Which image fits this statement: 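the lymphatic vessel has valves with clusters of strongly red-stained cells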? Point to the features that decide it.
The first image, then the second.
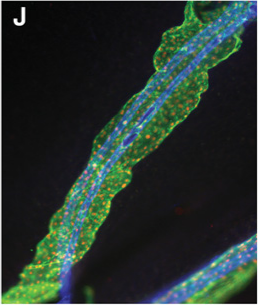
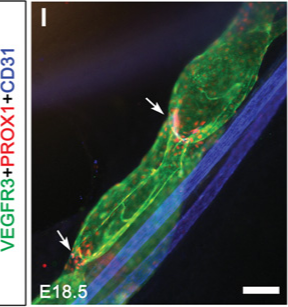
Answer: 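The second image. Second image: the green vessel narrows at two points marked by clusters of bright red nuclei.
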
